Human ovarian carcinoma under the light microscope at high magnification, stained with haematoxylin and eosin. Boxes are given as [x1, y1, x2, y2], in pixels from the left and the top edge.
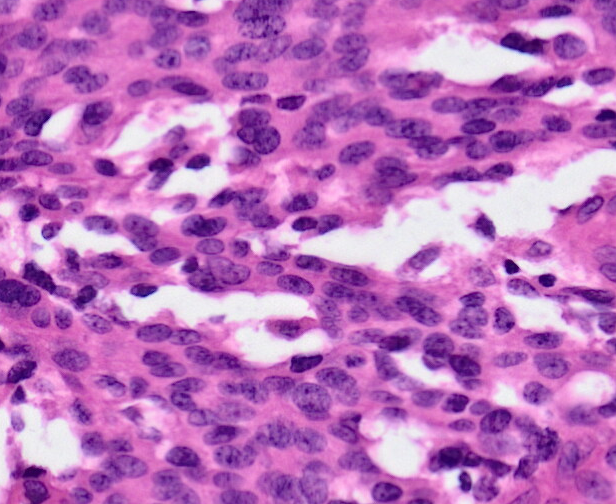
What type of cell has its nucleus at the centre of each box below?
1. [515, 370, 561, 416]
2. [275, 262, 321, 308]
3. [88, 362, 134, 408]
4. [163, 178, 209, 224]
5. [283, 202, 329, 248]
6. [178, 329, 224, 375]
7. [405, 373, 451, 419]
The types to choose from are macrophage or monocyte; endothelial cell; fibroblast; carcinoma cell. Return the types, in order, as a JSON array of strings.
["macrophage or monocyte", "carcinoma cell", "macrophage or monocyte", "macrophage or monocyte", "carcinoma cell", "carcinoma cell", "carcinoma cell"]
